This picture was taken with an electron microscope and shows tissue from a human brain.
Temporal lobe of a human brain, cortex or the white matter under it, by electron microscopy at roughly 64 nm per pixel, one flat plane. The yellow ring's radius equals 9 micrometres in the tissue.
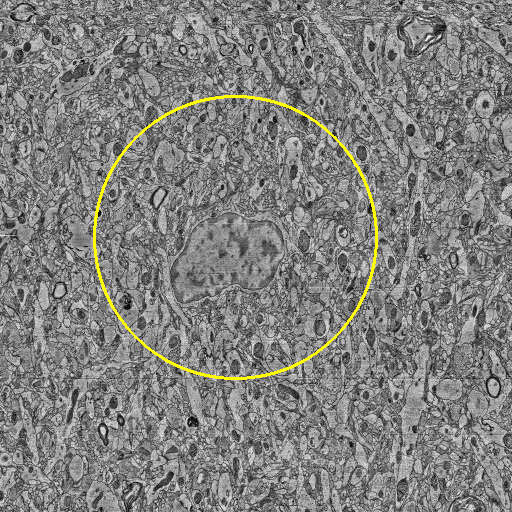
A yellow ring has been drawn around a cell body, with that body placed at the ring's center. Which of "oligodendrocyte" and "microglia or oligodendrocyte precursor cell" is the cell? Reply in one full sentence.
In this picture, a microglial cell or oligodendrocyte precursor cell is the cell at the center of the yellow ring.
